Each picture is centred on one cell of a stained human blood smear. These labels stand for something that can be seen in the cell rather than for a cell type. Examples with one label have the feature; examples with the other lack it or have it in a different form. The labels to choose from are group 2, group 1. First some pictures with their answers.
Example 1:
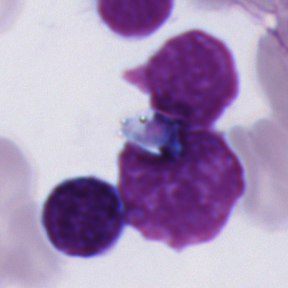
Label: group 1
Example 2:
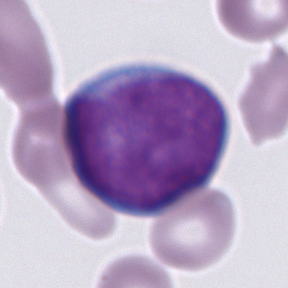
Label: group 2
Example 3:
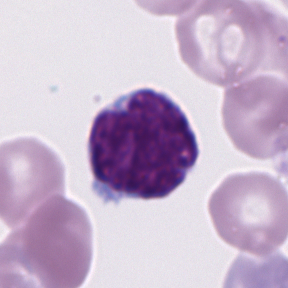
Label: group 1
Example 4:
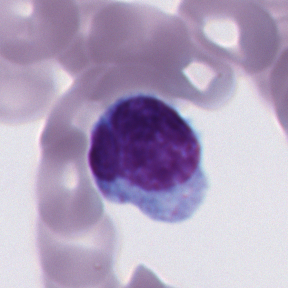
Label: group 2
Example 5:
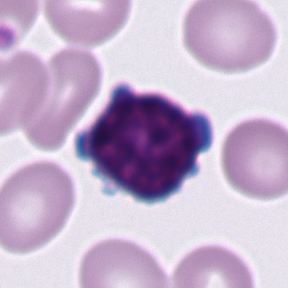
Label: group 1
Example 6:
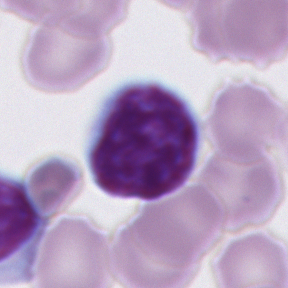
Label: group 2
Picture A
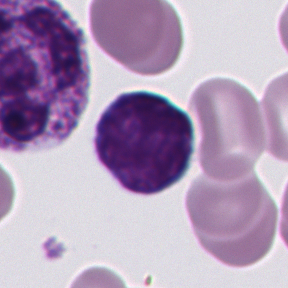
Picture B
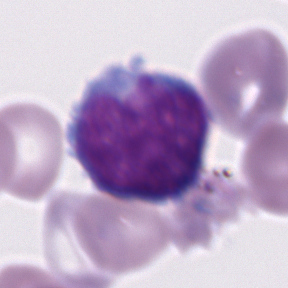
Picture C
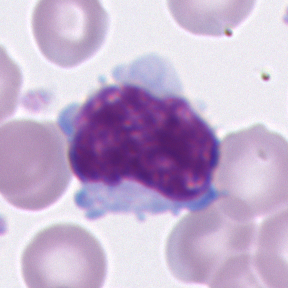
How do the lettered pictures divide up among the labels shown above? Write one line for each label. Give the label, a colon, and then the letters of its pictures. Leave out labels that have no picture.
group 2: A
group 1: B, C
